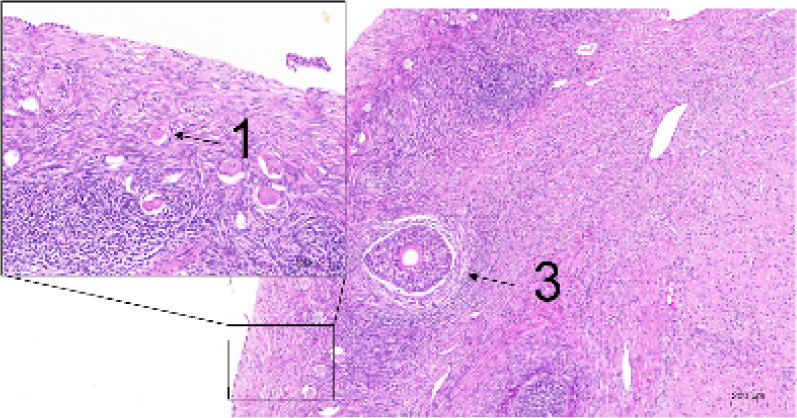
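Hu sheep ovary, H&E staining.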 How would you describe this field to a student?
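This is ovarian cortex stained pink and purple, with an enlarged inset showing the surface region. In the inset, tiny round follicles appear as small oocytes each wrapped by a thin rim of flattened cells, lying in densely cellular stroma just beneath the surface. Deeper in the tissue a larger follicle is seen as a round structure with concentric layers of cells around a central oocyte. The surrounding stroma is packed with elongated cells with purple nuclei, and darker purple cellular areas are scattered through it.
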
